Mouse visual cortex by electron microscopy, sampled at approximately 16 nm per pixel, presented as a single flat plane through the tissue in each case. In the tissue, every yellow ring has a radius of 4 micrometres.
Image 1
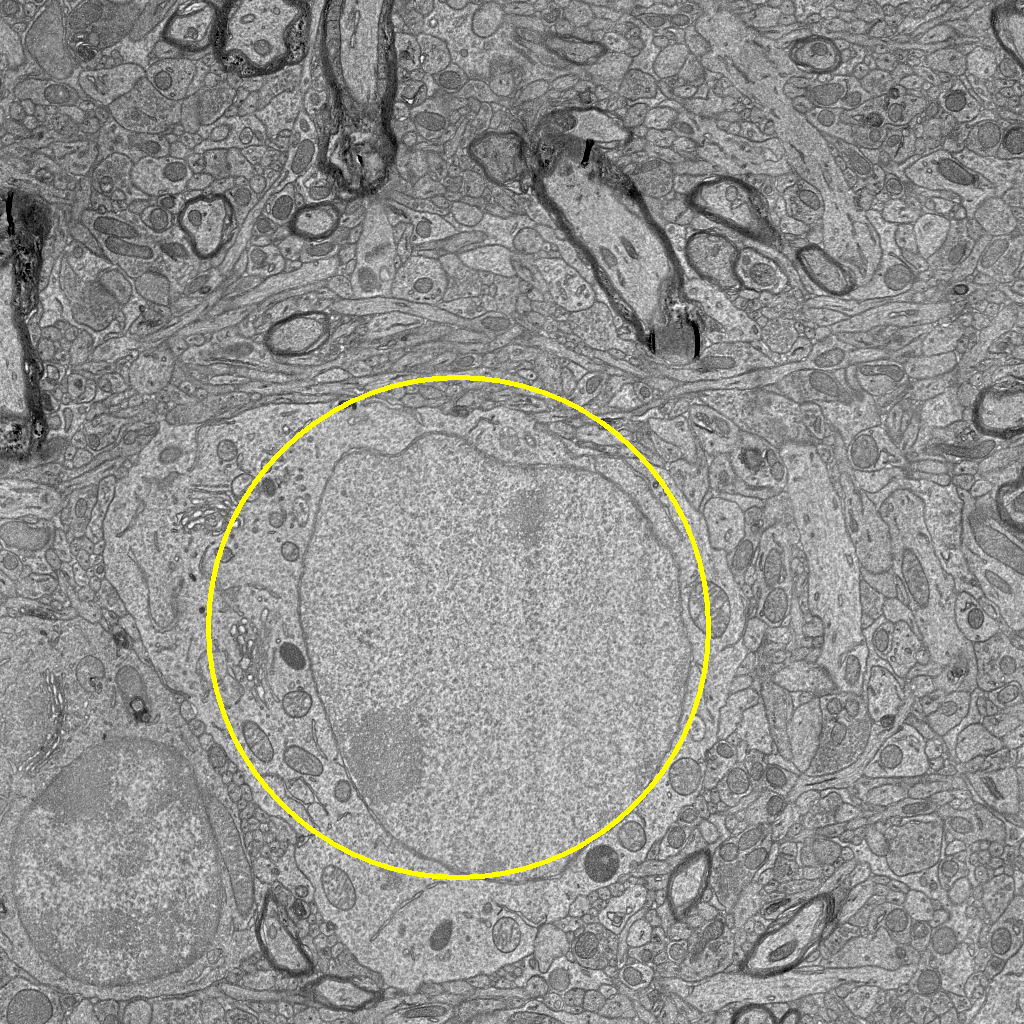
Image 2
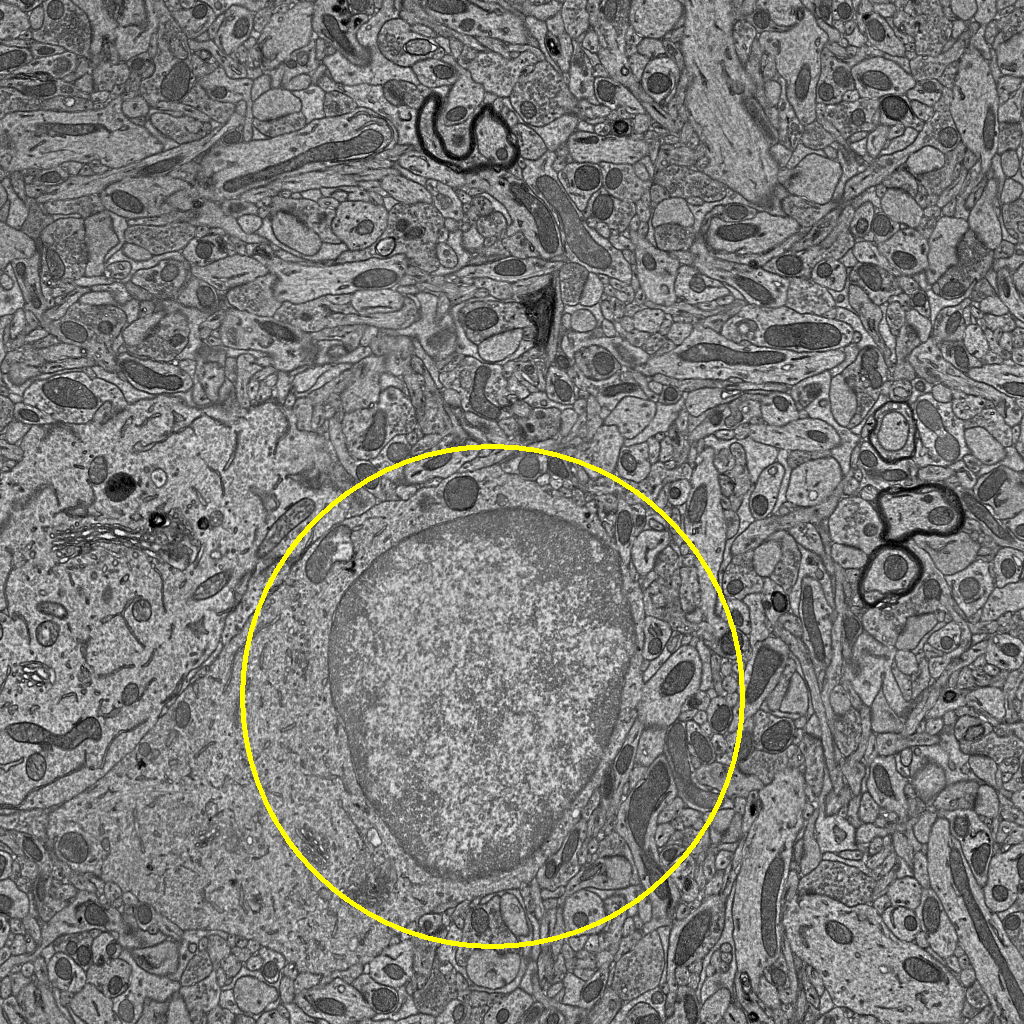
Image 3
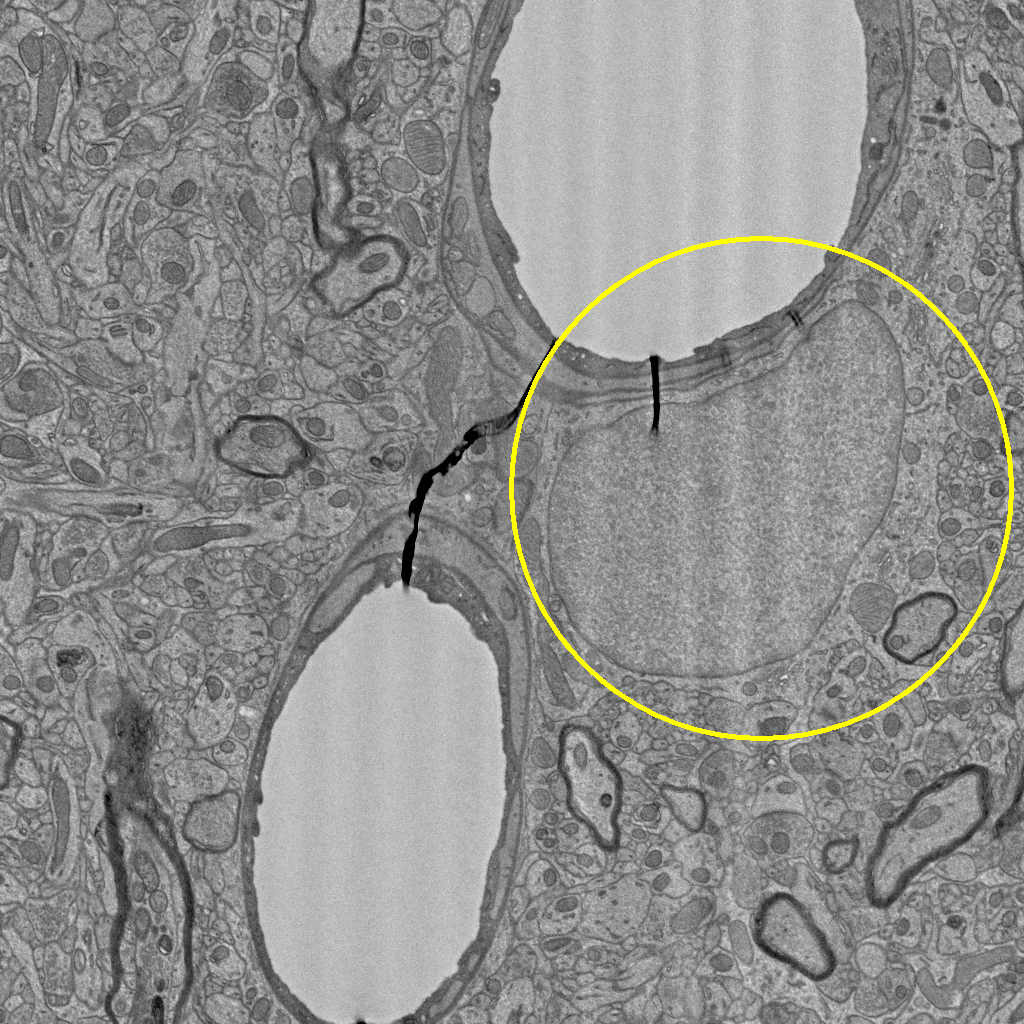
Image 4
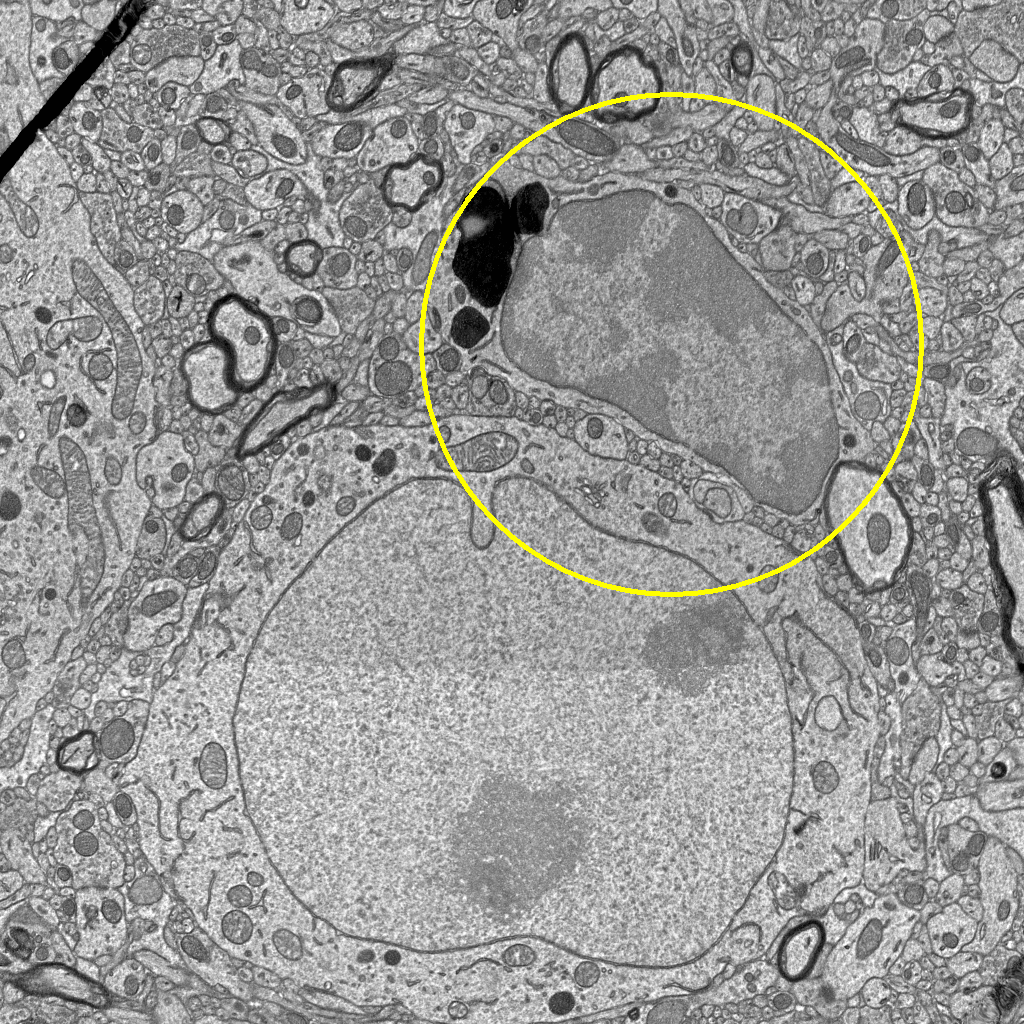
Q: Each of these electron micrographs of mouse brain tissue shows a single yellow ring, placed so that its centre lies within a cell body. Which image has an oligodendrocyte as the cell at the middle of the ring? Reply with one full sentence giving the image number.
In image 2, the cell body containing the ring's centre is the requested one.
